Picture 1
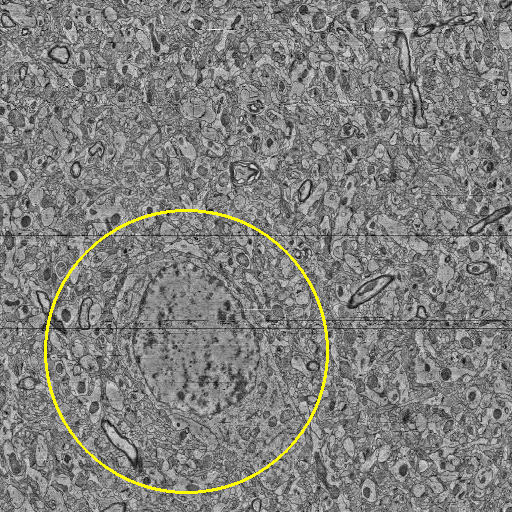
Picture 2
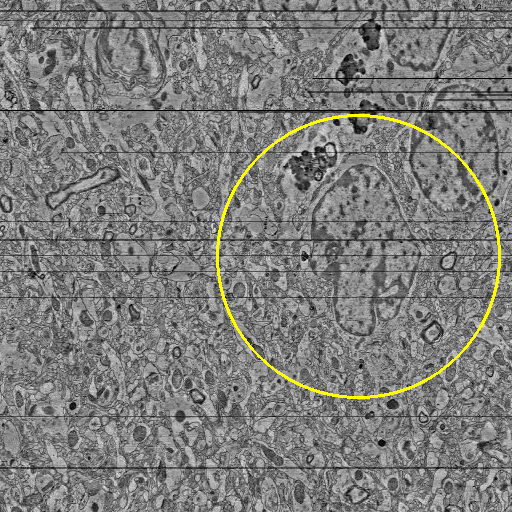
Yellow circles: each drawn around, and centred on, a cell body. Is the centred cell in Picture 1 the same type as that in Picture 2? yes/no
no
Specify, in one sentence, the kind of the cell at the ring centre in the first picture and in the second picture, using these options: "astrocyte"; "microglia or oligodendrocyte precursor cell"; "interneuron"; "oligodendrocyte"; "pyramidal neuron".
So the first is an interneuron, the second a microglial cell or oligodendrocyte precursor cell.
